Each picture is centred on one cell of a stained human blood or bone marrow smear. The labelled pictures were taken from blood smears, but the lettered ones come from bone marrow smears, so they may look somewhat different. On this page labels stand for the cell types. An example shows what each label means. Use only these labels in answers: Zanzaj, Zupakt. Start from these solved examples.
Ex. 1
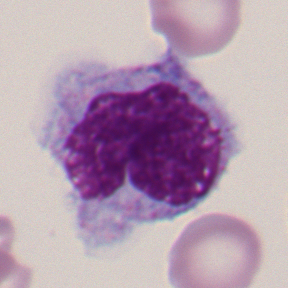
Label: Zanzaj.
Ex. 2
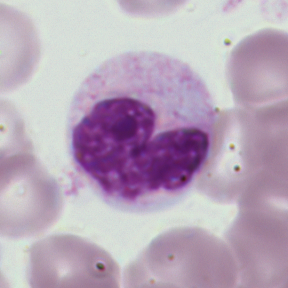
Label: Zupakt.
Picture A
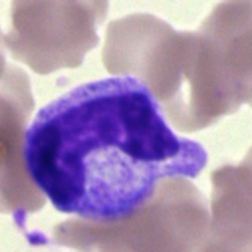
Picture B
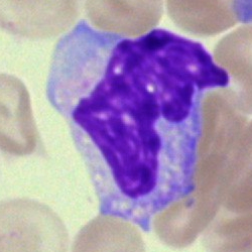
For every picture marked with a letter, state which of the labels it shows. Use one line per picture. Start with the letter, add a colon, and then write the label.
A: Zupakt.
B: Zanzaj.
